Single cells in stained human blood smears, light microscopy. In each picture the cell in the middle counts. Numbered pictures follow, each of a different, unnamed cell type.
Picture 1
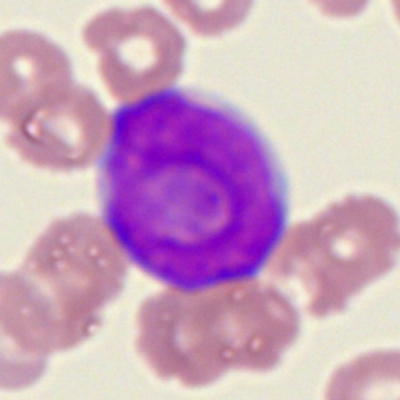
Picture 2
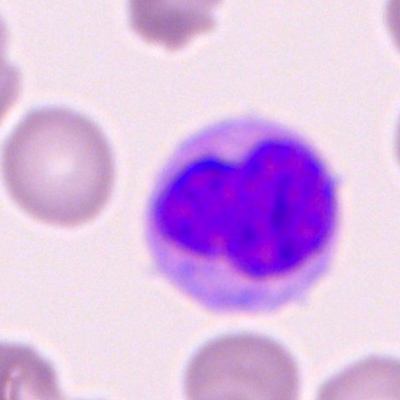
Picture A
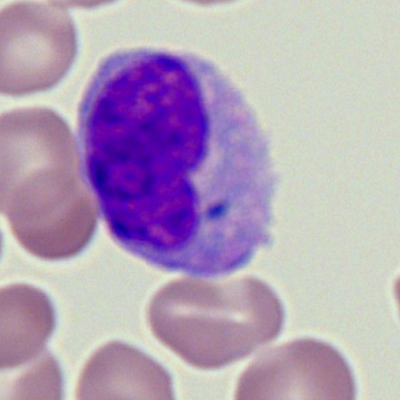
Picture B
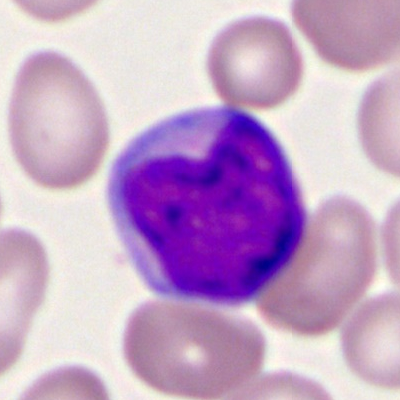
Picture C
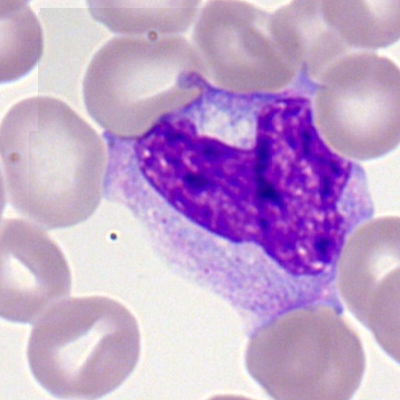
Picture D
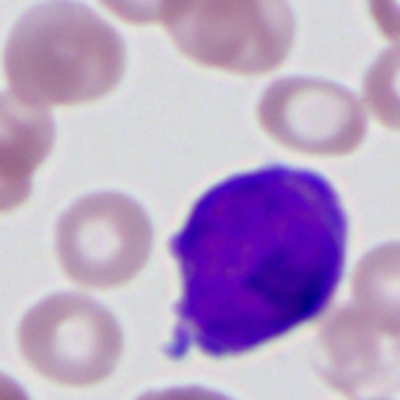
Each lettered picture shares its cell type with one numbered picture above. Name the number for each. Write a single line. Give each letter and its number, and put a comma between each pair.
A 2, B 1, C 2, D 1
